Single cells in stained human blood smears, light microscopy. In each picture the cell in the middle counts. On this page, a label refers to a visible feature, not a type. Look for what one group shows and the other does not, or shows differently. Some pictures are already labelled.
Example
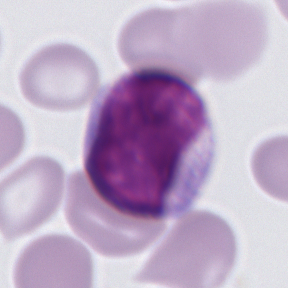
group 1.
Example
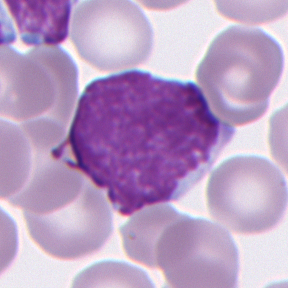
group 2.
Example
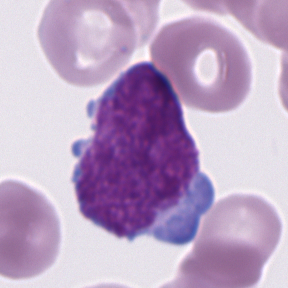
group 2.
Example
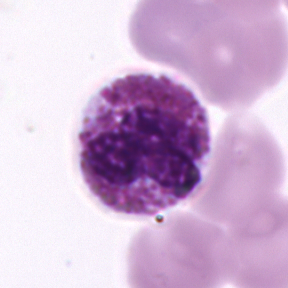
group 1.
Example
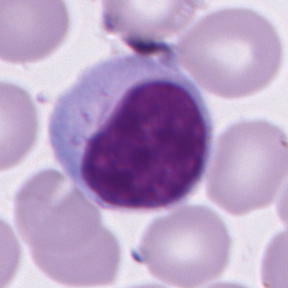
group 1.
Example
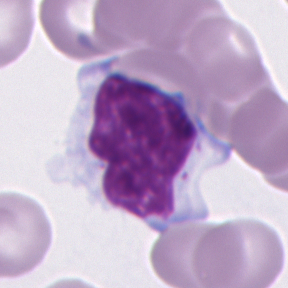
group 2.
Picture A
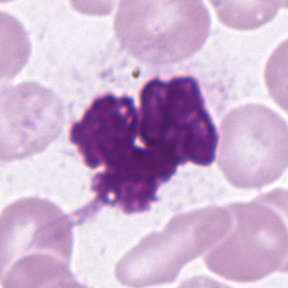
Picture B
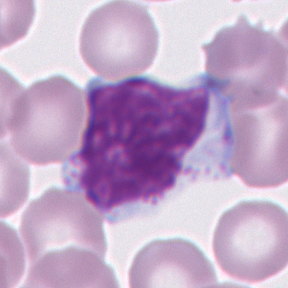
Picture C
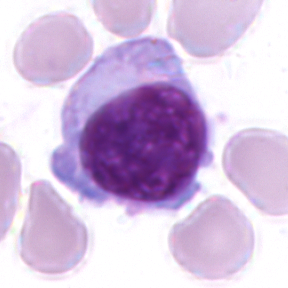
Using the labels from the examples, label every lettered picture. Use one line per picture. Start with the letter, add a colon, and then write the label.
A: group 2.
B: group 2.
C: group 2.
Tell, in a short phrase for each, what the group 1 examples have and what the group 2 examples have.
Seen in group 1: smooth outline; seen in group 2: ragged outline or projections.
